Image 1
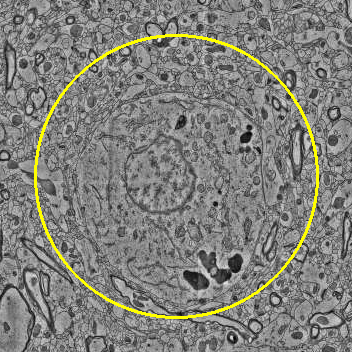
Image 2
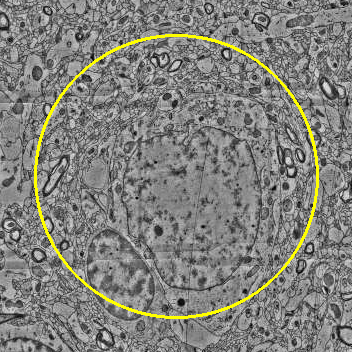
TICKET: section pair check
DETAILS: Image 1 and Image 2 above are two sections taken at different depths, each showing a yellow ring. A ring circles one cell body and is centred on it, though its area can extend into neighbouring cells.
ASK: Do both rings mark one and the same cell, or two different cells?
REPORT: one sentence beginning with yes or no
No, the ringed cells are two separate cells.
